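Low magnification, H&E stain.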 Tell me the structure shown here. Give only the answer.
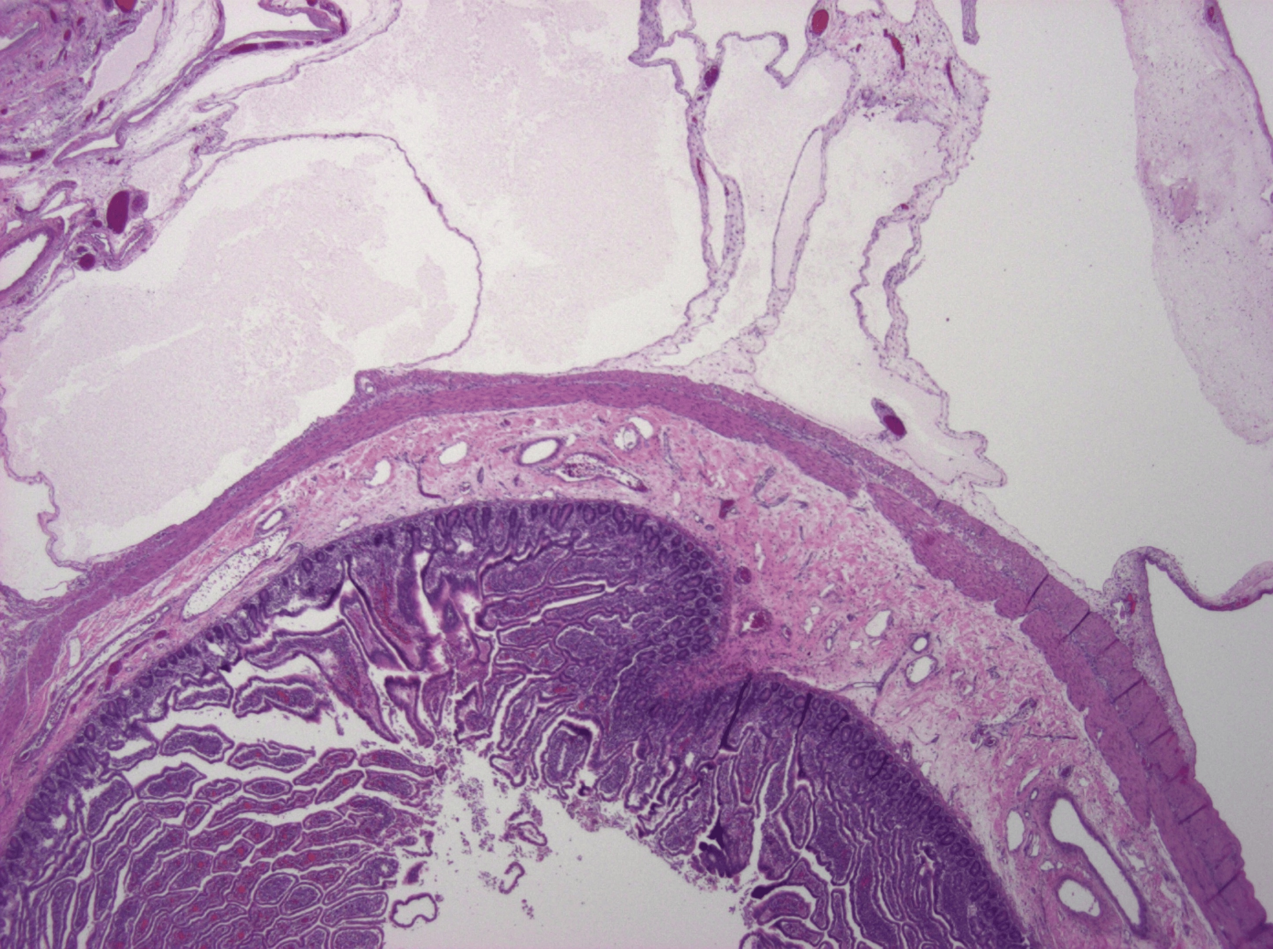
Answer: microcysts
